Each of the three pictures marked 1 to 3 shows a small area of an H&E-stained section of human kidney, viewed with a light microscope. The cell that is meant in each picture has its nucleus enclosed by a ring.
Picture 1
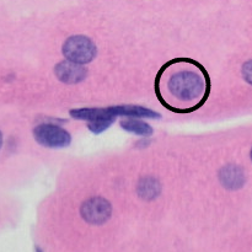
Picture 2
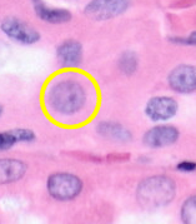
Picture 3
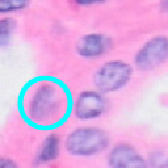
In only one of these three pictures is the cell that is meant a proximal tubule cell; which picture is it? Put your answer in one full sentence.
The cell in picture 1 is the proximal tubule cell.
